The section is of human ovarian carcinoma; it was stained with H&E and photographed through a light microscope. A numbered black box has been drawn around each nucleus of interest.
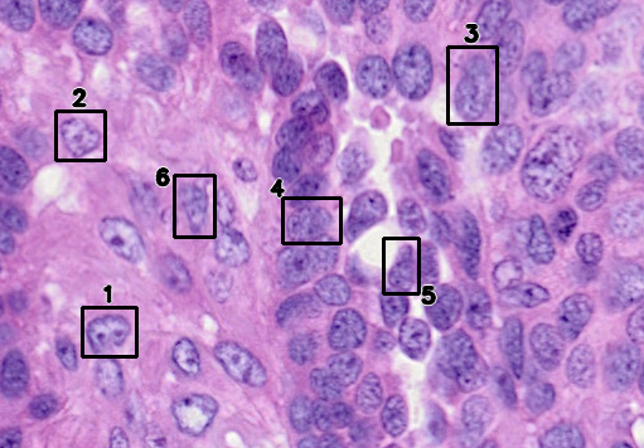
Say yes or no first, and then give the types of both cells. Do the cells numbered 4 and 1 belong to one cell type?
No, cell 4 counts as a carcinoma cell, and cell 1 counts as a fibroblast.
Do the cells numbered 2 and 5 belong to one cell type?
No, cell 2 is a fibroblast, and cell 5, for its part, is a carcinoma cell.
